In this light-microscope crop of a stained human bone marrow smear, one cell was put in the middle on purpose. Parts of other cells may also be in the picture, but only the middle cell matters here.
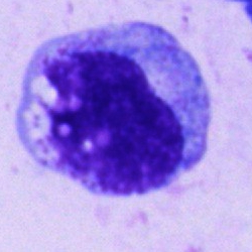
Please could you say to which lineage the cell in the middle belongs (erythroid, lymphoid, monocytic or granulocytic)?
monocytic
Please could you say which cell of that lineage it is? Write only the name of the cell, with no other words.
monocyte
